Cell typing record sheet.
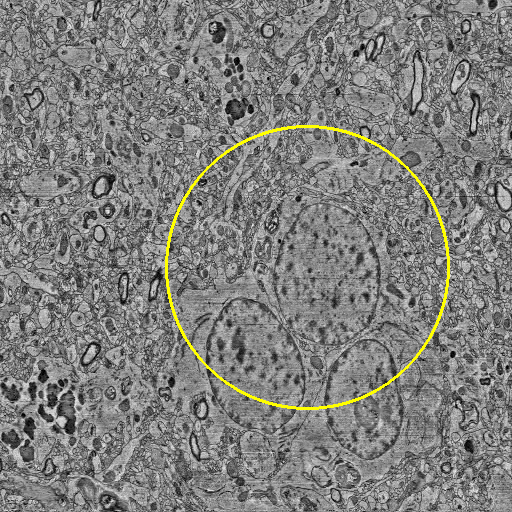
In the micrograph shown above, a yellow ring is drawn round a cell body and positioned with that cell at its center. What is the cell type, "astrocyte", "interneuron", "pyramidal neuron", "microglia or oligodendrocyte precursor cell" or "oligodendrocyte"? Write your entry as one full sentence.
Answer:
The cell body at the center of the ring belongs to an astrocyte.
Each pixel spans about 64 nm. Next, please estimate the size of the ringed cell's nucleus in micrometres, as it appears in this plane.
Approximately 10 micrometres long and 7 micrometres wide, in this plane.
